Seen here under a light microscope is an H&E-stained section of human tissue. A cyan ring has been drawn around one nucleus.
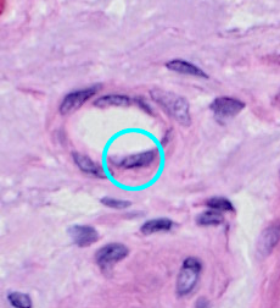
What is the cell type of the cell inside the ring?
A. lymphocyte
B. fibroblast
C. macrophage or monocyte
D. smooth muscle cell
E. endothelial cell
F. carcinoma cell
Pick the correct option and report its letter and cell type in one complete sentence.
Option E describes the cell inside the ring accurately as an endothelial cell.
